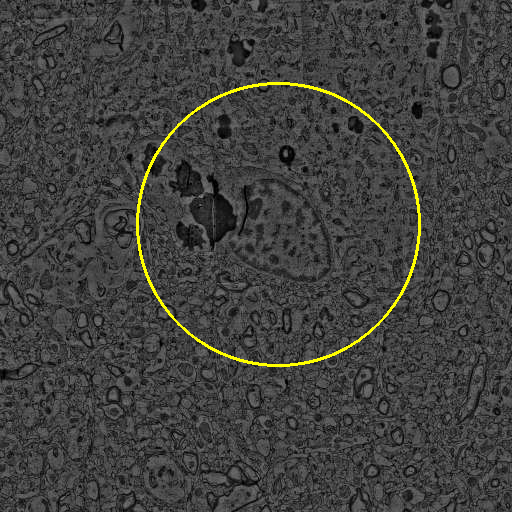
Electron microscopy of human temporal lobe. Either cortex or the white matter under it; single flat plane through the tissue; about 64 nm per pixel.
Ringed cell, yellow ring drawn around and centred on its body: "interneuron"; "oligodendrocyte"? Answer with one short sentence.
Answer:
This ringed cell is an oligodendrocyte.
